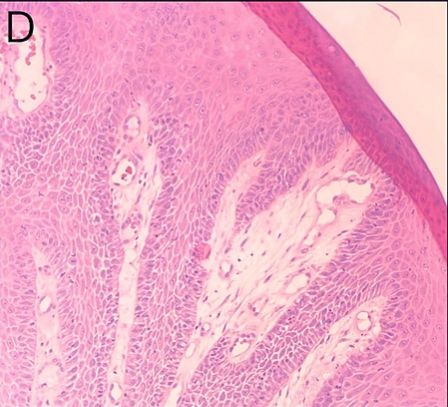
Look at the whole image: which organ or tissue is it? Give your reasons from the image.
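Hyperplastic squamous epithelium. Thick stratified epithelium of polygonal cells. Long downgrowths of epithelium alternate with slender stromal papillae containing vessels. A keratinized layer covers the surface.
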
